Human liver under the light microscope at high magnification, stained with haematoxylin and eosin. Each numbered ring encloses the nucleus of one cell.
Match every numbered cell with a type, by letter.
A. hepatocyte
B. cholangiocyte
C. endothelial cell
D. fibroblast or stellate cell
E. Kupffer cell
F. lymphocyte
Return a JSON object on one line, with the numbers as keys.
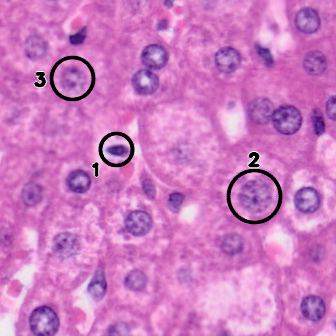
{"1": "F", "2": "A", "3": "A"}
